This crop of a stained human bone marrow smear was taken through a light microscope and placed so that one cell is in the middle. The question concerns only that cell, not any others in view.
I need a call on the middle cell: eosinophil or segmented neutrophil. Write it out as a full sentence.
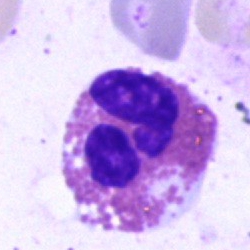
The cell at the centre of the field is an eosinophil.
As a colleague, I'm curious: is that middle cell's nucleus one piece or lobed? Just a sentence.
The nucleus is segmented, with two or more lobes present.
